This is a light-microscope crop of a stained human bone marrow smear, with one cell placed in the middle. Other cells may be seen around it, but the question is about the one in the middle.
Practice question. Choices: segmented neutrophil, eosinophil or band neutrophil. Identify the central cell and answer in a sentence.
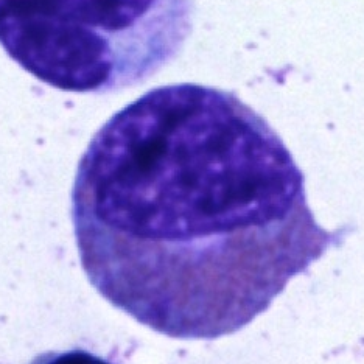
The cell shown in the center of this light-microscope crop is an eosinophil.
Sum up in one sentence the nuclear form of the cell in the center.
Just one compact nuclear mass here, round, oval or kidney-shaped.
